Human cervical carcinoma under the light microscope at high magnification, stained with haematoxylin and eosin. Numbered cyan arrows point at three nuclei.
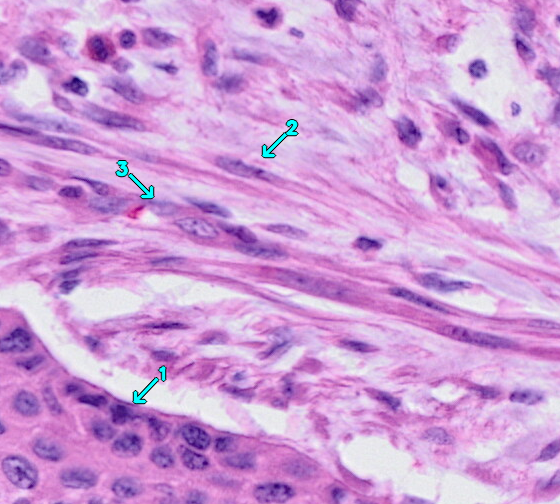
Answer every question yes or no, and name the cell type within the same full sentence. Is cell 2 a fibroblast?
Yes, the cell distinguished by number 2 is a fibroblast.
